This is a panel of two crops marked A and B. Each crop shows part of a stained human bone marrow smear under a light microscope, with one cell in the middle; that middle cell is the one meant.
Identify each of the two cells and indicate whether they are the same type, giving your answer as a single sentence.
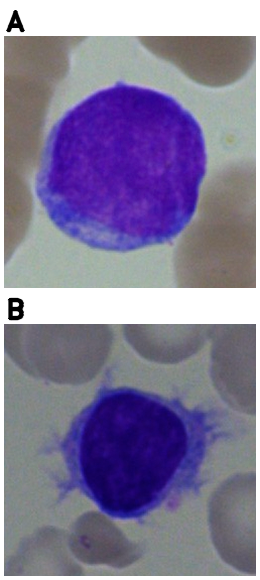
No, sorry, crop A shows a blast and crop B shows a lymphocyte.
